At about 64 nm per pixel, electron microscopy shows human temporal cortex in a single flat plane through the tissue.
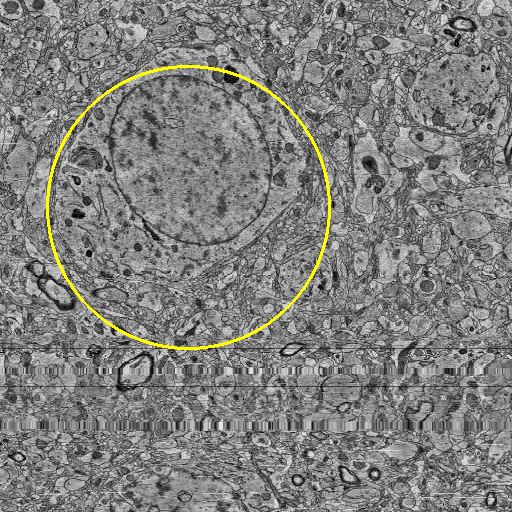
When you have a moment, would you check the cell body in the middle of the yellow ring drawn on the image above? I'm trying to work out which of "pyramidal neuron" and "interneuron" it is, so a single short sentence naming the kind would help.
This cell body belongs to a pyramidal neuron.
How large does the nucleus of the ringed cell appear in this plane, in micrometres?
Approximately 12 by 10 micrometers in this plane.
